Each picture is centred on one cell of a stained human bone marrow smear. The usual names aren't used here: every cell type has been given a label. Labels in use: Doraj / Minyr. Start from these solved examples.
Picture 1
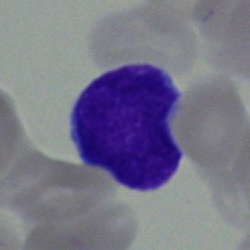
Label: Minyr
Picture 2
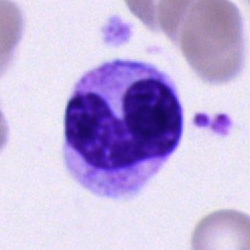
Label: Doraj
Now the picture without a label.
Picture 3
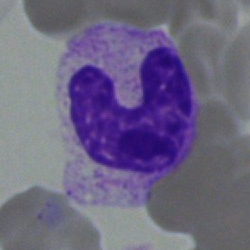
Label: Doraj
